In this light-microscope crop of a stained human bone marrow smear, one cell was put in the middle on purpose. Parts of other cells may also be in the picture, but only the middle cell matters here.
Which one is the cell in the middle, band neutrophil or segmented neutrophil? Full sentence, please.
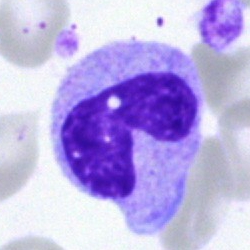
Here the centrally located cell is a band neutrophil.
